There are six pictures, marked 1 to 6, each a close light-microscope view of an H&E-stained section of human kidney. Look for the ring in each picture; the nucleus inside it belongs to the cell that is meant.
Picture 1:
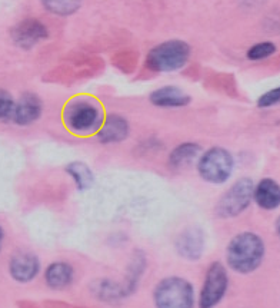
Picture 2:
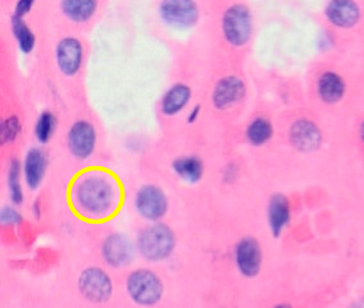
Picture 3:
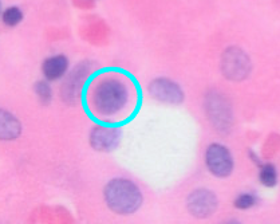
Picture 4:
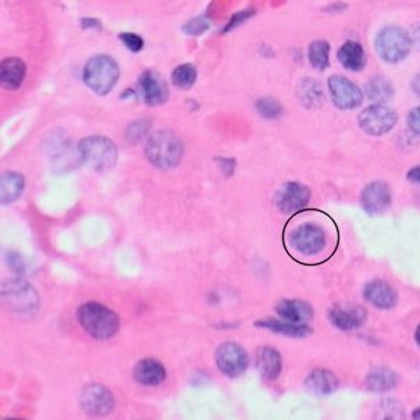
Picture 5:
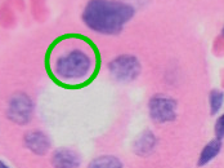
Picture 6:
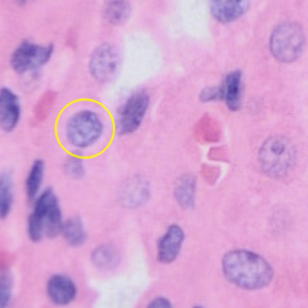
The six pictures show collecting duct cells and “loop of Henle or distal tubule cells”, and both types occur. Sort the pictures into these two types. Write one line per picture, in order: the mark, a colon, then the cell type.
1: collecting duct cell
2: loop of Henle or distal tubule cell
3: collecting duct cell
4: loop of Henle or distal tubule cell
5: loop of Henle or distal tubule cell
6: loop of Henle or distal tubule cell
